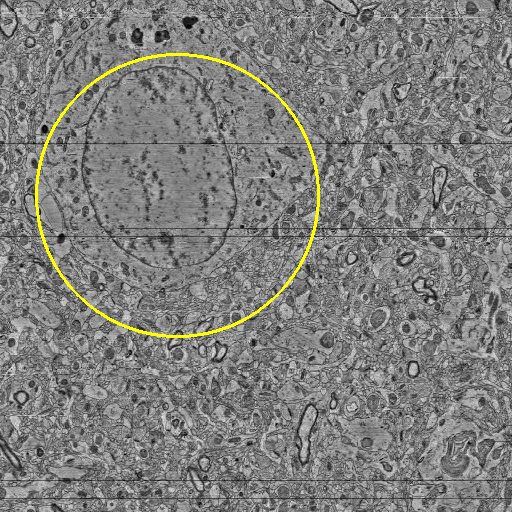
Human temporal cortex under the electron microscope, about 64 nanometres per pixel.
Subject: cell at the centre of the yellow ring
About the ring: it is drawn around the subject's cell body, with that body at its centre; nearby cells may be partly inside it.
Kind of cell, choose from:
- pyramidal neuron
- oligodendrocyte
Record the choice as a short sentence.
The subject cell is a pyramidal neuron.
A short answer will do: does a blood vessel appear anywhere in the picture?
No, there is none.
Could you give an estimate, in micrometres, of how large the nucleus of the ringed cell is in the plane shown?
About 13 micrometres by about 10 micrometres in this plane.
